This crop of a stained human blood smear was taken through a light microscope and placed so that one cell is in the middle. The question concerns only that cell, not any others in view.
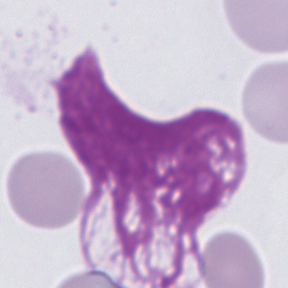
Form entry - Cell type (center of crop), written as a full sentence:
The central cell, amid any neighbouring cells, is a smudge cell.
